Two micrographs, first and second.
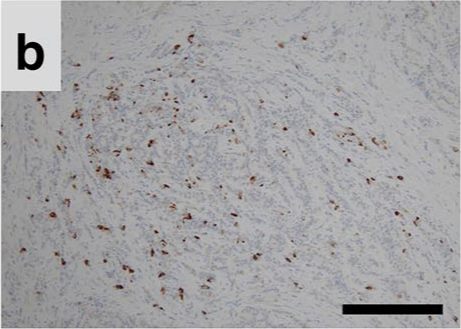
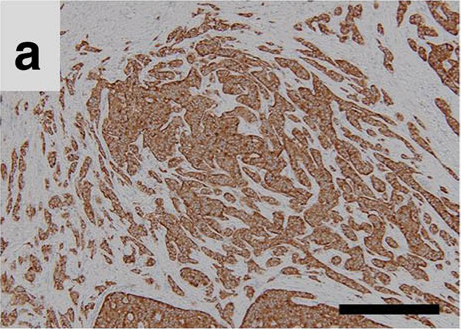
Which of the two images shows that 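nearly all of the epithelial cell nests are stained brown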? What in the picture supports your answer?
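First image: only scattered single brown cells among mostly blue-grey unstained tissue. Second image: confluent nests and trabeculae stained diffusely brown. That points to this answer: the second image.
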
